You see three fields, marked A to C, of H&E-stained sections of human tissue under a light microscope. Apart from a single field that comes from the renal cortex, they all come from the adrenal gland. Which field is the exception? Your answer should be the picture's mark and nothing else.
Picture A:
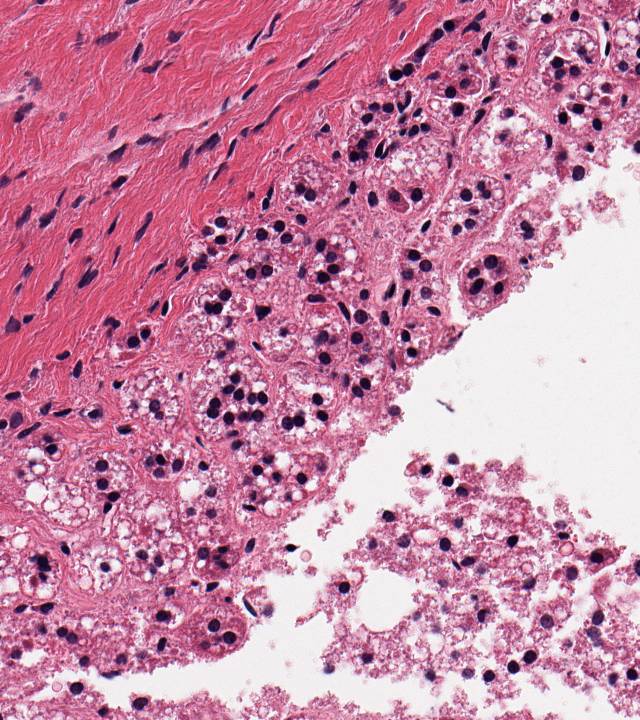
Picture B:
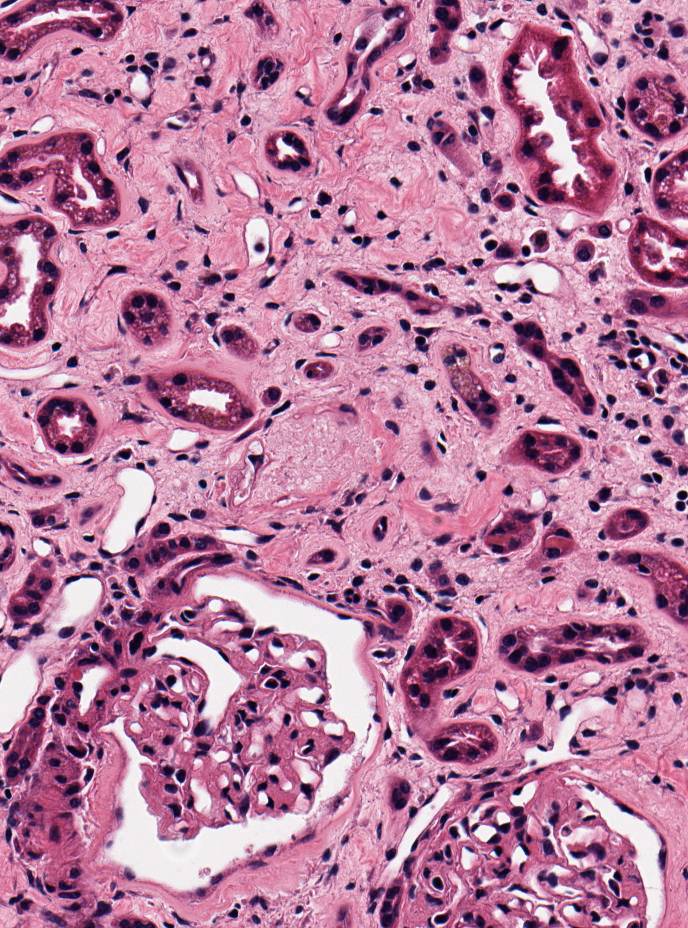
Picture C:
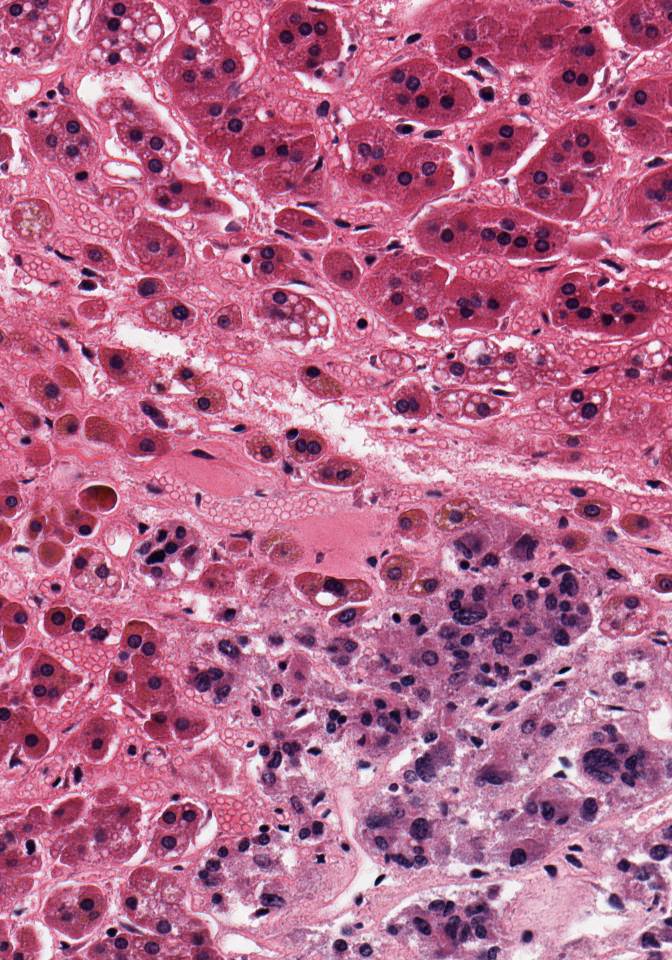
B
